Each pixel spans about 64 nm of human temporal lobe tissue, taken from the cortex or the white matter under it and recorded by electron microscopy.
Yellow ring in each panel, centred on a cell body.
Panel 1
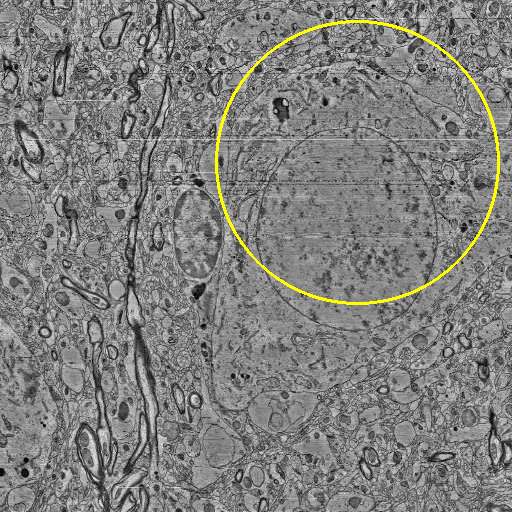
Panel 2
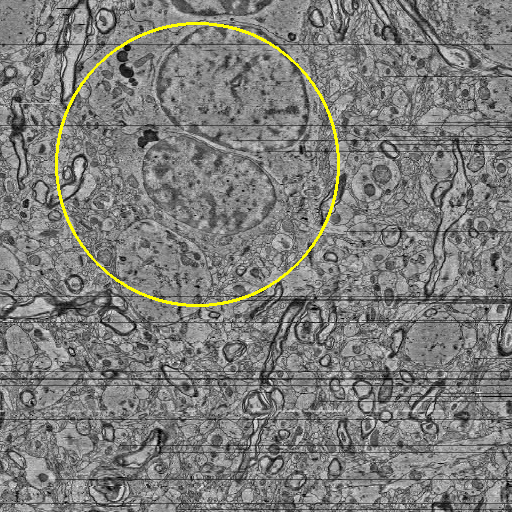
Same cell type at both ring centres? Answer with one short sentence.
No, the two cells are of two types.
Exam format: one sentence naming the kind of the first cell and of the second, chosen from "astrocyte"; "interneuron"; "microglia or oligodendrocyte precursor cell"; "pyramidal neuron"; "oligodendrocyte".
The first picture's cell is a pyramidal neuron, and the second picture's cell is an oligodendrocyte.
